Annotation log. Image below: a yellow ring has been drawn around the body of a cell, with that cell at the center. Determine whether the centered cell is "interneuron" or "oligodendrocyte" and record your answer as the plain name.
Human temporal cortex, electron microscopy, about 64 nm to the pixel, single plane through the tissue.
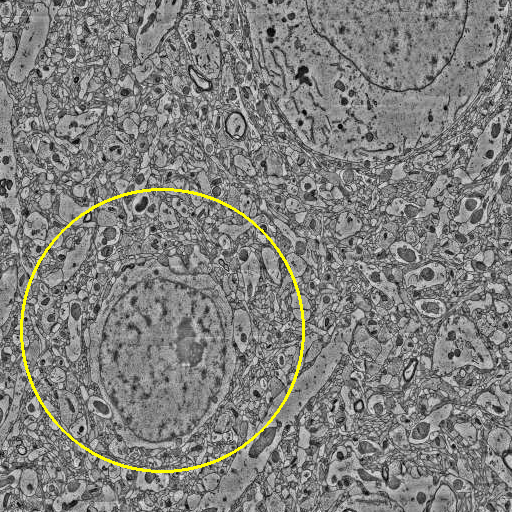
interneuron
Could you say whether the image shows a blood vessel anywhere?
No, no vessel appears in the picture.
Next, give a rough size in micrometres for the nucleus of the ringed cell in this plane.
The nucleus comes to roughly 10 by 8 micrometres in this plane.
